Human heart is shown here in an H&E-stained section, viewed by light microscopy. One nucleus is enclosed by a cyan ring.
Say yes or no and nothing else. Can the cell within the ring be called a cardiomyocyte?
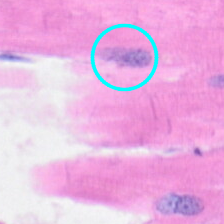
yes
